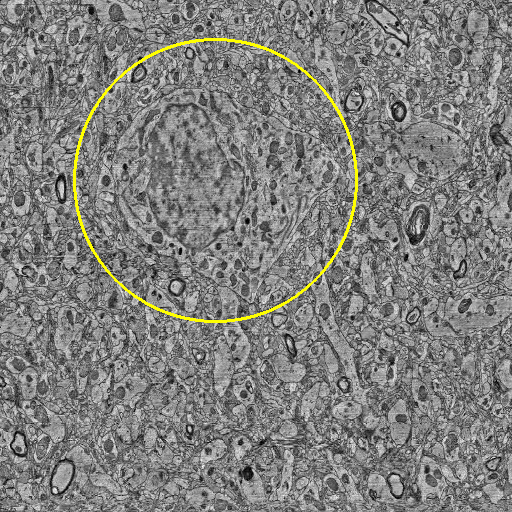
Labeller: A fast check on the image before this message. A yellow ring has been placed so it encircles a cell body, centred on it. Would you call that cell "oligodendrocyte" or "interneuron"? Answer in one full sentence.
In this image, an interneuron is the cell on which the yellow ring is centred.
